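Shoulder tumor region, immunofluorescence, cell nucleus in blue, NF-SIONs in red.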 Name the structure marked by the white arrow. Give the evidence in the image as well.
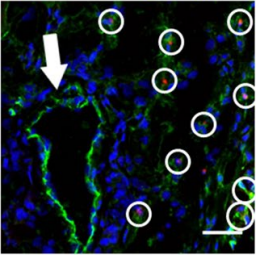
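The arrow points into a dark, elongated space free of blue nuclei. A thin green line lines the border of the space, with flat nuclei along it.
Answer: lumen of blood vessel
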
